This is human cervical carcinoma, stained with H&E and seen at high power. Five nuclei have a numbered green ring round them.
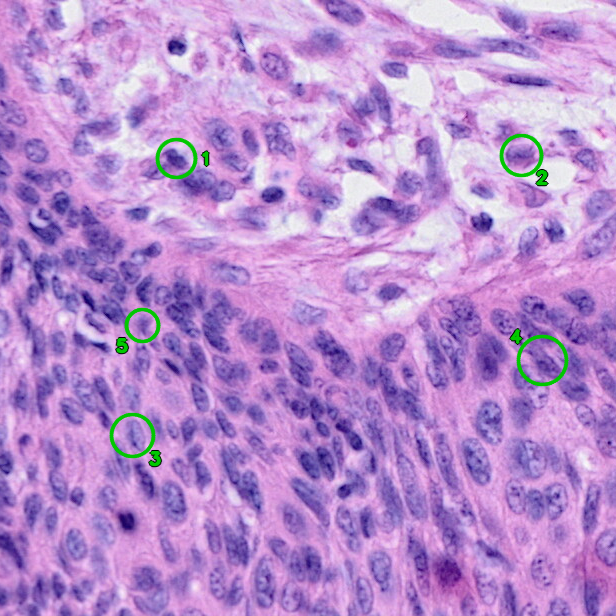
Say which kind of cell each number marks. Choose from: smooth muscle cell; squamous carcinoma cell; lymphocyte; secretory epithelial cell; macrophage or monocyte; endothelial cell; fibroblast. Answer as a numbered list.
1. lymphocyte
2. fibroblast
3. squamous carcinoma cell
4. squamous carcinoma cell
5. squamous carcinoma cell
